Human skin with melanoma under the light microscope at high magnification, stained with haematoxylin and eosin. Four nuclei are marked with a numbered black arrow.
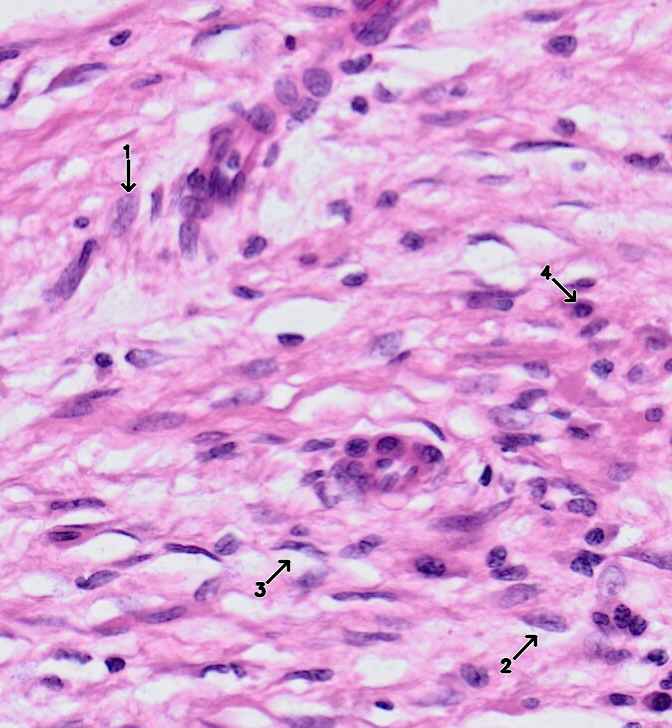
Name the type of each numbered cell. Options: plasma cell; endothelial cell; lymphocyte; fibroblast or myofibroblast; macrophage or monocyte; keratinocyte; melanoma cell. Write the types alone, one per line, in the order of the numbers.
fibroblast or myofibroblast
fibroblast or myofibroblast
fibroblast or myofibroblast
plasma cell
